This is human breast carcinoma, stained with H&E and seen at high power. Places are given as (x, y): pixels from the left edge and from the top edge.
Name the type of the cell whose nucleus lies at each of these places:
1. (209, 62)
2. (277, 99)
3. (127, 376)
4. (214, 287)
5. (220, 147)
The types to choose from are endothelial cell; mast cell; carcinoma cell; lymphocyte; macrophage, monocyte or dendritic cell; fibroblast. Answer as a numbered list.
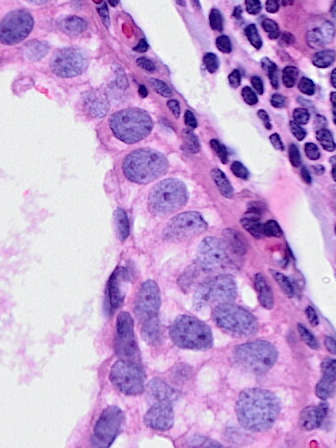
1. lymphocyte
2. lymphocyte
3. carcinoma cell
4. carcinoma cell
5. lymphocyte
